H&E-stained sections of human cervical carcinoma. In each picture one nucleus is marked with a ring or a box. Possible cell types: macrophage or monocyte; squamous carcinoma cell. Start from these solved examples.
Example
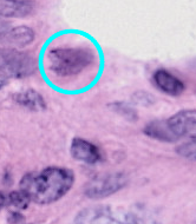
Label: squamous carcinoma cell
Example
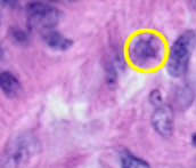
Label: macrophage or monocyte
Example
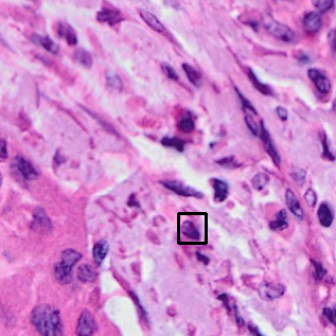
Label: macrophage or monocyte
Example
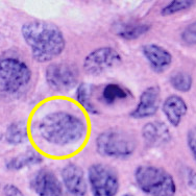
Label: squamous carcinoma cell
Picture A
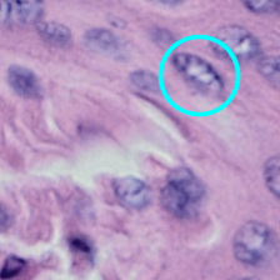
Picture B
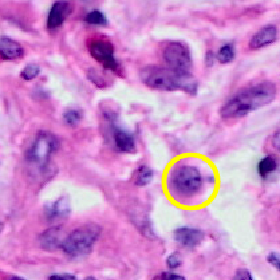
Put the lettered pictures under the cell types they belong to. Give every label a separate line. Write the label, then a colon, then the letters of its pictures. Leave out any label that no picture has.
macrophage or monocyte: B
squamous carcinoma cell: A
